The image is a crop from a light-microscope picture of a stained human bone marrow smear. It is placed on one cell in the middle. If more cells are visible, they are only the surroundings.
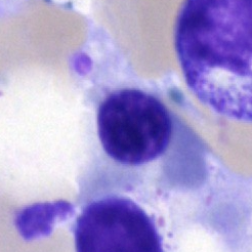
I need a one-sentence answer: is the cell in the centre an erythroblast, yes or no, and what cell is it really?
Yes, in the middle of the crop is an erythroblast.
